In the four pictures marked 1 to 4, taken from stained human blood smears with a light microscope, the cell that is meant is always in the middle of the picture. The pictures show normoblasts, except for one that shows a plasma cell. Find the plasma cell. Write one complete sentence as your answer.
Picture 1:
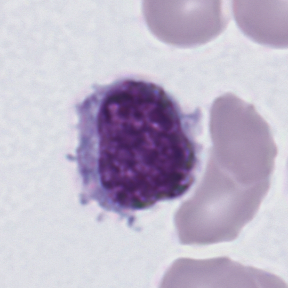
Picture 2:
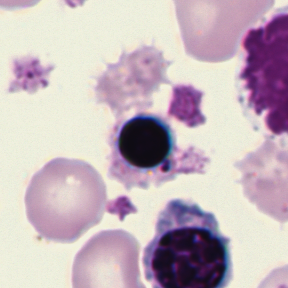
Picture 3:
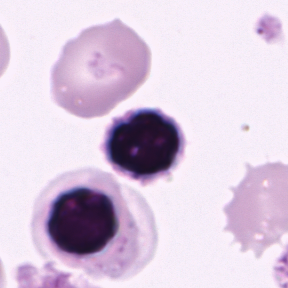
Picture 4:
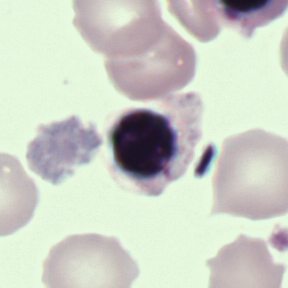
Picture 1 shows the plasma cell.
